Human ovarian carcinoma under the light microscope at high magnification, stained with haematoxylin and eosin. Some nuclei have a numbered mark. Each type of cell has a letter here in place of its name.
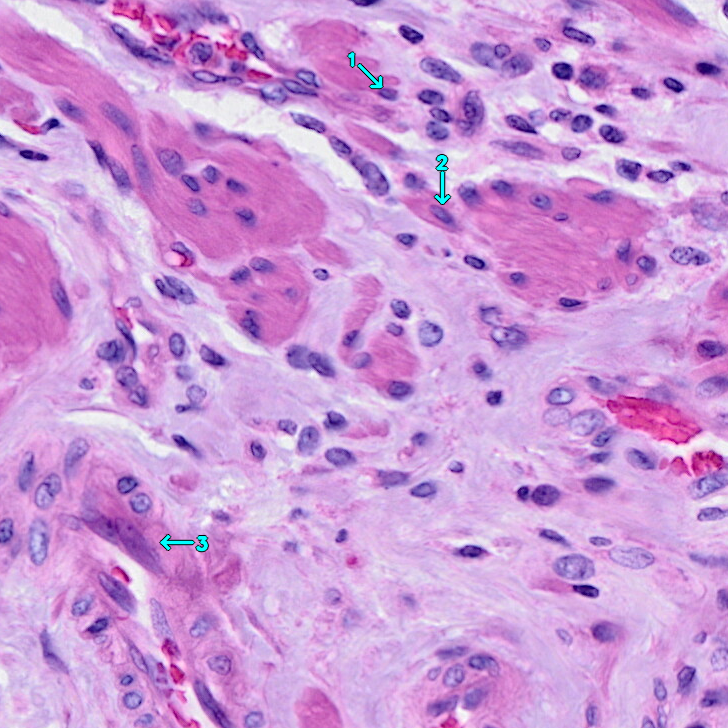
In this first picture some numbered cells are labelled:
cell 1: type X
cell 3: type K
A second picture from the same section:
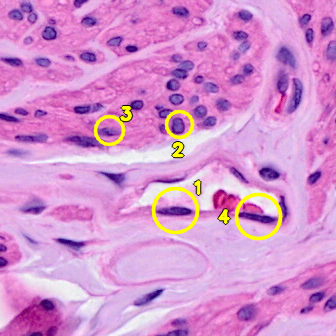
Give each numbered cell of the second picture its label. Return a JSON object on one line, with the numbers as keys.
{"1": "type K", "2": "type X", "3": "type X", "4": "type K"}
